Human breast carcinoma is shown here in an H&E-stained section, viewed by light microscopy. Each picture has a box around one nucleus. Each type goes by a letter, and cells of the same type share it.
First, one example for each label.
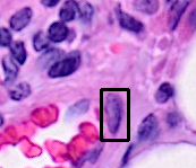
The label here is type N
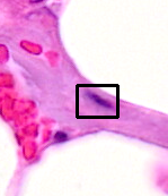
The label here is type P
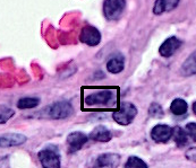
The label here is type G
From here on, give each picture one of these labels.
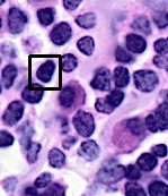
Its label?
type G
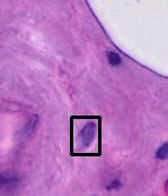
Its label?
type P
